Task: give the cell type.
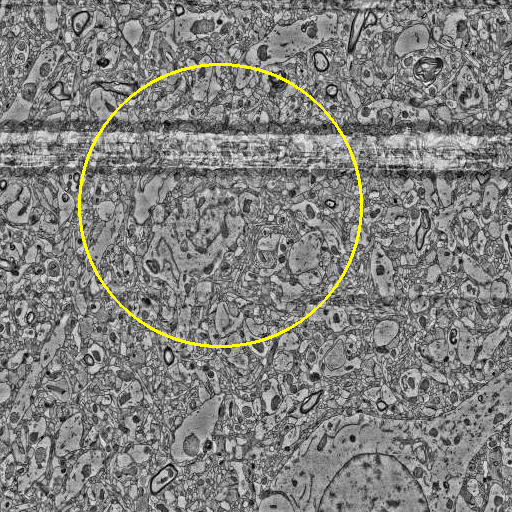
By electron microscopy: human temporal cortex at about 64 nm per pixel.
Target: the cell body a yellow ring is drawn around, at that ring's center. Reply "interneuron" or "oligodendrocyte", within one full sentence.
In this picture, the cell whose body lies at the ring's center is an interneuron.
